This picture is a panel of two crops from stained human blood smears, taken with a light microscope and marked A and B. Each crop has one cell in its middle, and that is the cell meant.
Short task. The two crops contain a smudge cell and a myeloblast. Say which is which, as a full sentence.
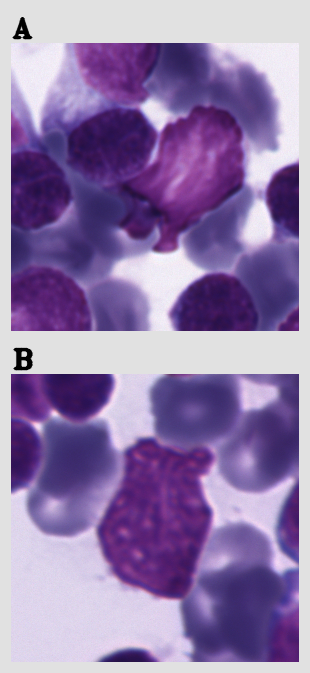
Crop A is identified as a myeloblast, and crop B is identified as a smudge cell.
